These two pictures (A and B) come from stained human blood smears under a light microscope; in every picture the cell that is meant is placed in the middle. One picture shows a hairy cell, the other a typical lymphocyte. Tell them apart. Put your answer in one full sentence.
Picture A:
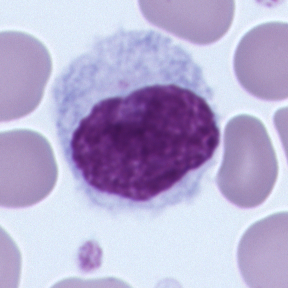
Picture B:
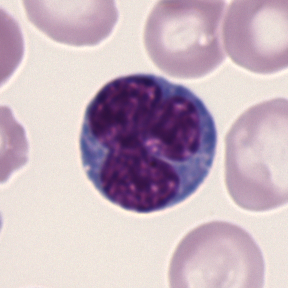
Picture A is of a hairy cell, and picture B is of a typical lymphocyte.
